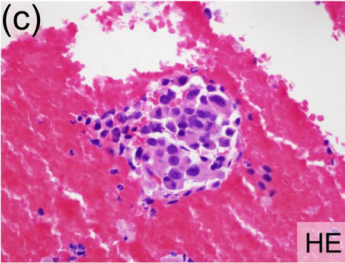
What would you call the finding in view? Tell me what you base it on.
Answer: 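Clusters of cells with atypical nuclei. A tight cohesive group of cells sits in the middle of the field. Their nuclei are large, dark purple and vary in size and shape.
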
